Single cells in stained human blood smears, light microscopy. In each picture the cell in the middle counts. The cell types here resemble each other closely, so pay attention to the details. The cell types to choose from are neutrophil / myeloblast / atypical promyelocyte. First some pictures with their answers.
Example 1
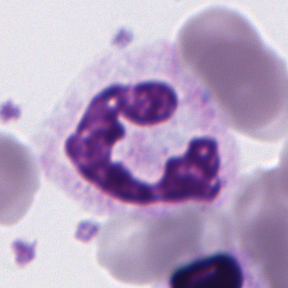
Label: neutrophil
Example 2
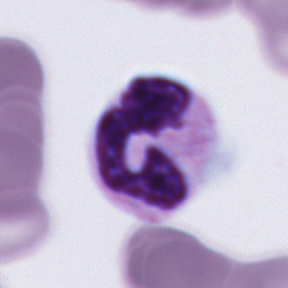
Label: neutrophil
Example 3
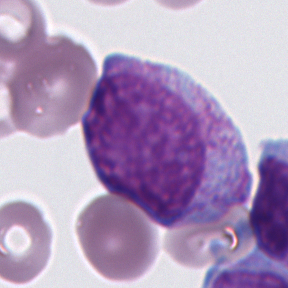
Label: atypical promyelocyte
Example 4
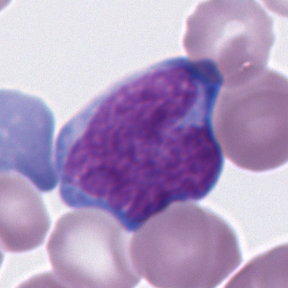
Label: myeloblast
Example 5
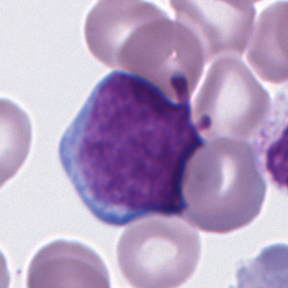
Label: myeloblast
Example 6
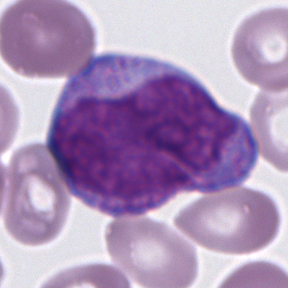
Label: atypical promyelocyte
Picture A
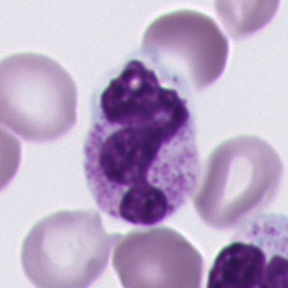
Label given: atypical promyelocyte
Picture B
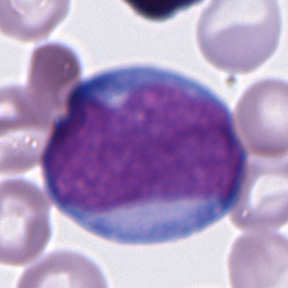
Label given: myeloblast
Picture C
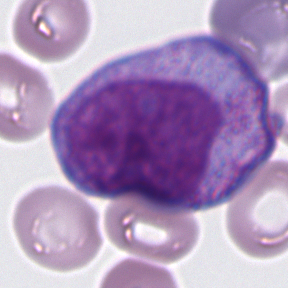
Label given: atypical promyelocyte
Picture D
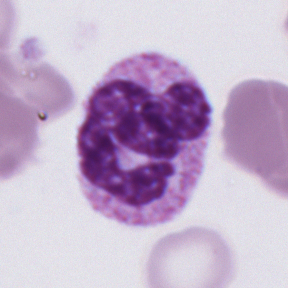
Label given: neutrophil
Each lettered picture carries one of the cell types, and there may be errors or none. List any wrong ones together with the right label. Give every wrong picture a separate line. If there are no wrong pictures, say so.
A: neutrophil, not atypical promyelocyte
